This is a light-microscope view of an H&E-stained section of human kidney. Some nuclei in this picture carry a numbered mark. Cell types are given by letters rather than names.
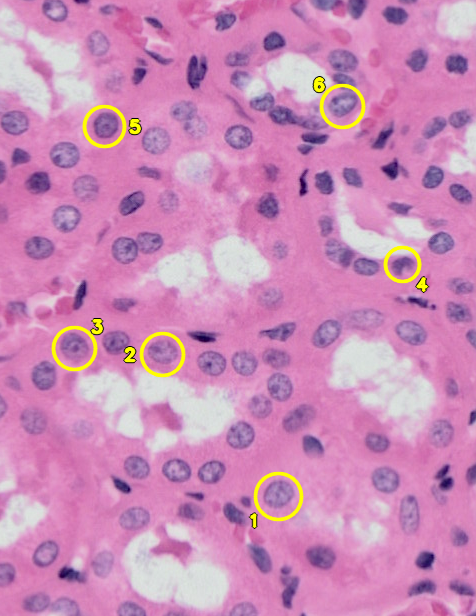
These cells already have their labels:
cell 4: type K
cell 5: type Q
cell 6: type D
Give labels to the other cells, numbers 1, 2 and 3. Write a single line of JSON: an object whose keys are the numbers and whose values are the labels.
{"1": "type Q", "2": "type Q", "3": "type Q"}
